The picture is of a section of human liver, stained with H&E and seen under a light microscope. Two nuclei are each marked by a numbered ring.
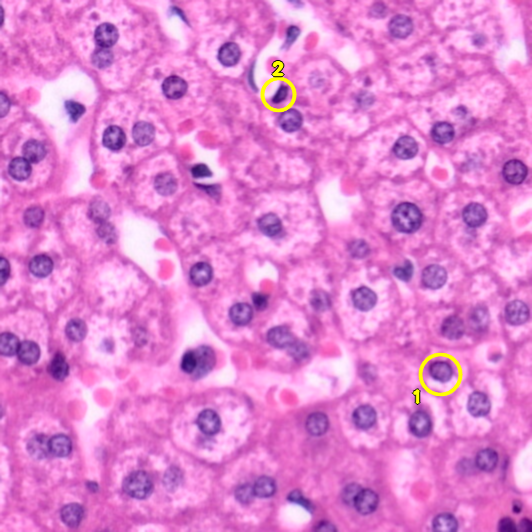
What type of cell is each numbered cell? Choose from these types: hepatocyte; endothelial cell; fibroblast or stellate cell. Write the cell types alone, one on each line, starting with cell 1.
hepatocyte
fibroblast or stellate cell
